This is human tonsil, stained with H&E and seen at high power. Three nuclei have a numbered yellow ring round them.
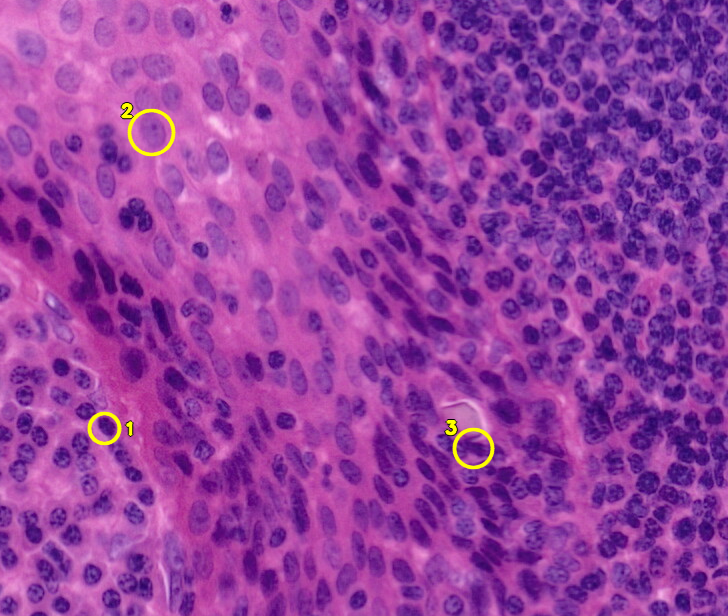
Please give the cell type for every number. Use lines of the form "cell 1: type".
cell 1: plasma cell
cell 2: squamous epithelial cell
cell 3: squamous epithelial cell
